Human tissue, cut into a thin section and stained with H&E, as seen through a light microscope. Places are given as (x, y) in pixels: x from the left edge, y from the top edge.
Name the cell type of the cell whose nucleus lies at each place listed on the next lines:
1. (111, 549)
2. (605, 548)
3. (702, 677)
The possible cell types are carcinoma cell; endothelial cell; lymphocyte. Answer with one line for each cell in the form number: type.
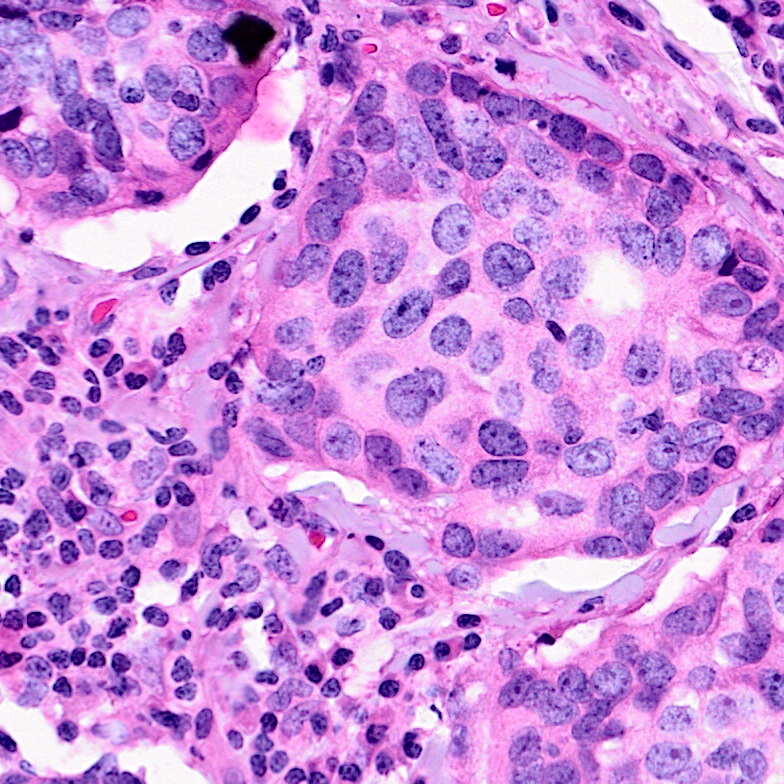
1: lymphocyte
2: carcinoma cell
3: carcinoma cell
